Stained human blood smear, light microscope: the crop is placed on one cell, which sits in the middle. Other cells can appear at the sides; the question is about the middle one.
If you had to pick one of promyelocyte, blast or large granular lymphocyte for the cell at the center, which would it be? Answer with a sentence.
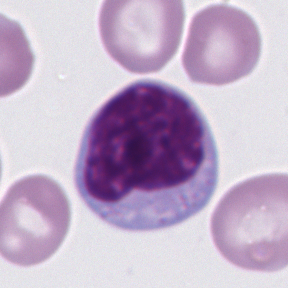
Within this crop, a large granular lymphocyte occupies the central position.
